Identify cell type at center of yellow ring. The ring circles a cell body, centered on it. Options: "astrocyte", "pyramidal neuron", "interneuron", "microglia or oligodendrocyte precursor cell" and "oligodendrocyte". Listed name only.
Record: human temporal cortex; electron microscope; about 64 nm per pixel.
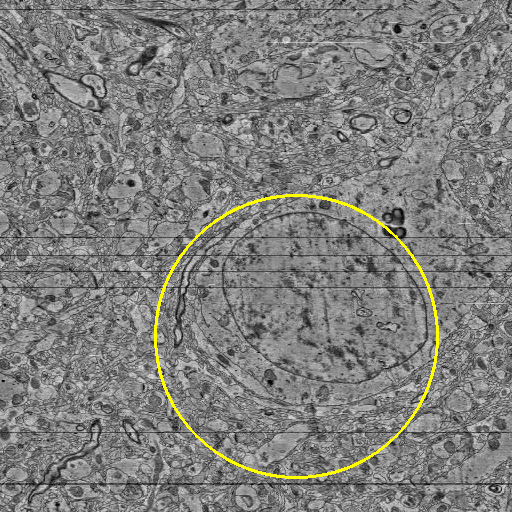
pyramidal neuron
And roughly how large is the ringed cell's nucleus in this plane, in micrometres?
The ringed cell's nucleus is about 14 micrometres long and 11 micrometres wide in this plane.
